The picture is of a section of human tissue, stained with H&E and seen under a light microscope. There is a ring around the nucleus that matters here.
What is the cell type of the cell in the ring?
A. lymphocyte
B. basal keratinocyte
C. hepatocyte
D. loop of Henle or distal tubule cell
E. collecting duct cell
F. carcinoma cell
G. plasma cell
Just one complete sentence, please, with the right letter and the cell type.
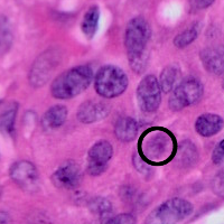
Option F stands as correct, with the cell in the ring being a carcinoma cell.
